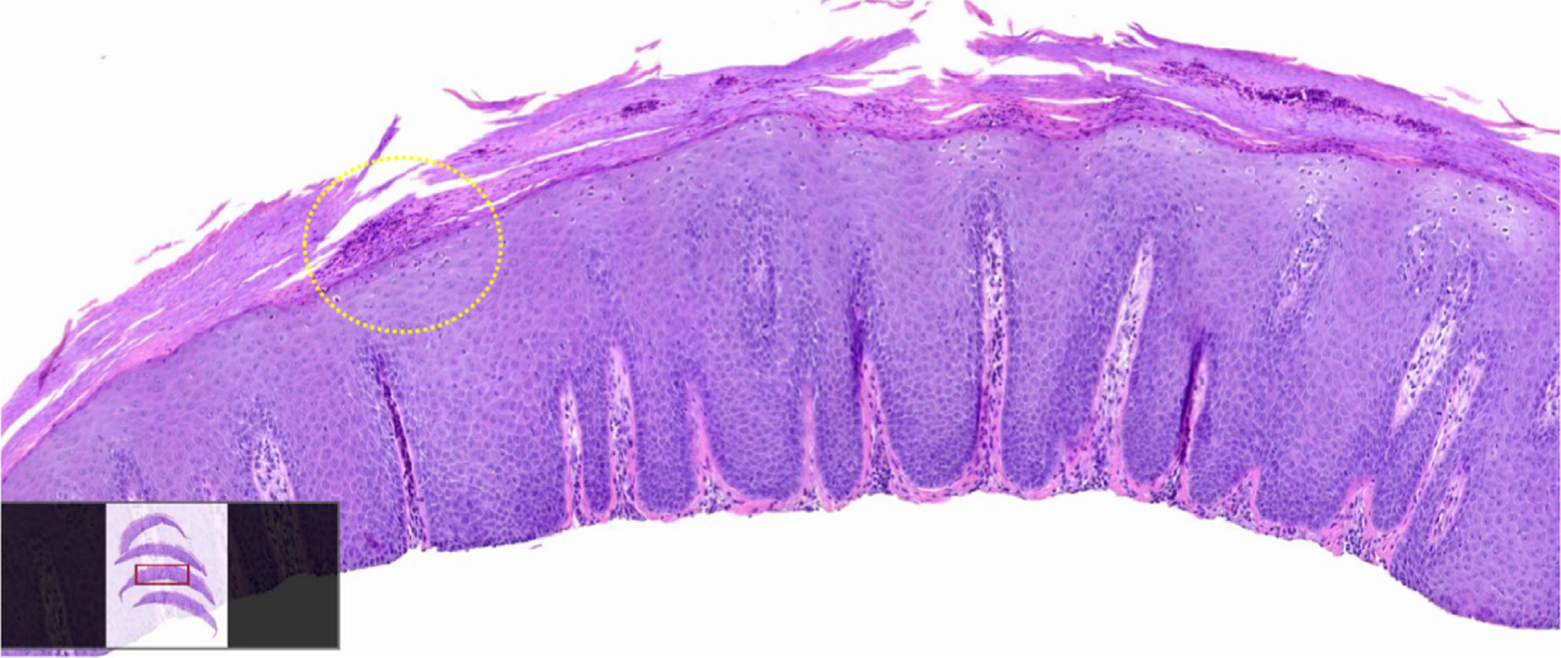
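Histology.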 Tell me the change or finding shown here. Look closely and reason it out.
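The epithelium is markedly thickened. Narrow dermal papillae with small vessels extend up between the ridges. On this evidence: regular psoriasiform hyperplasia.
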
